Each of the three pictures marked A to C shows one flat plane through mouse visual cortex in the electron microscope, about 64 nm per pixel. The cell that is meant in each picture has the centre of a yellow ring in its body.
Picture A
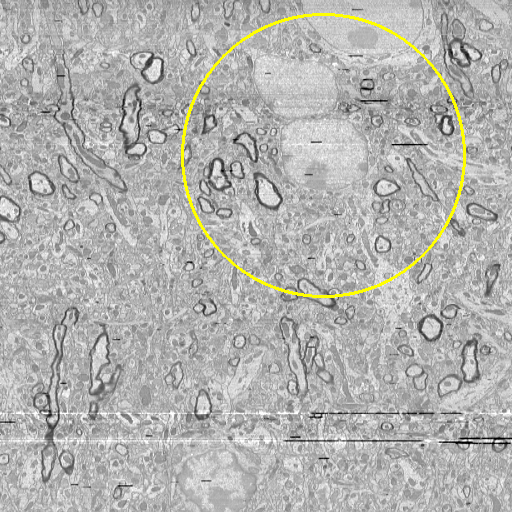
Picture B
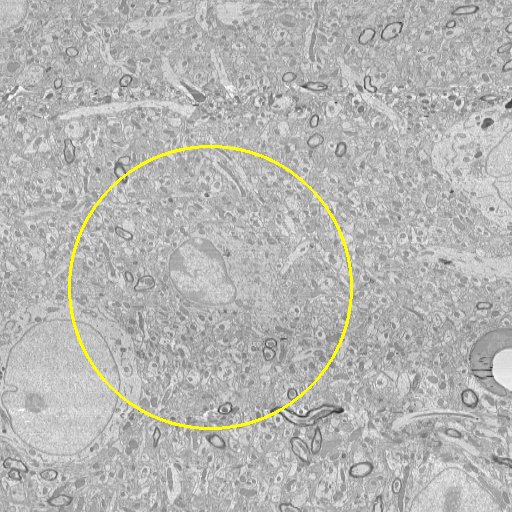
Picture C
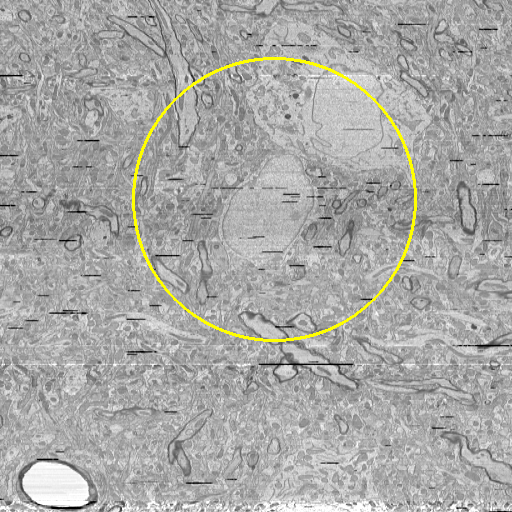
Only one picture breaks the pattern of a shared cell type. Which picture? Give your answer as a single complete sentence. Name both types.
Picture B differs, because its cell is an oligodendrocyte and the rest are astrocytes.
